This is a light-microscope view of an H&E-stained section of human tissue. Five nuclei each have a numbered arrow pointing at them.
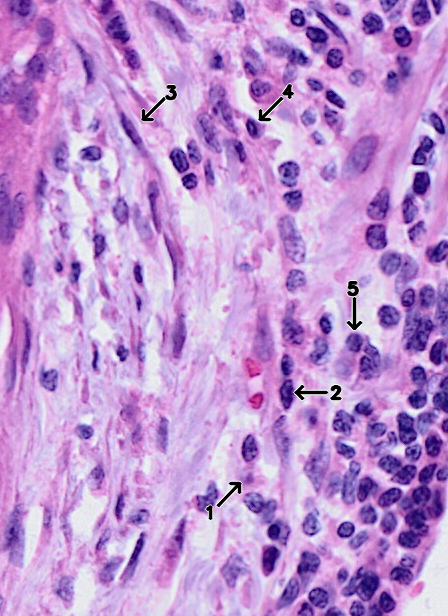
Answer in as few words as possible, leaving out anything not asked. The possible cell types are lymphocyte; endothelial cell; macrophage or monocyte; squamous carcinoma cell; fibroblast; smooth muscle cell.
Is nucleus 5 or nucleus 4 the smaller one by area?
4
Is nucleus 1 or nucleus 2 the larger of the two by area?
2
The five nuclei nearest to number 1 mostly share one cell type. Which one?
lymphocyte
